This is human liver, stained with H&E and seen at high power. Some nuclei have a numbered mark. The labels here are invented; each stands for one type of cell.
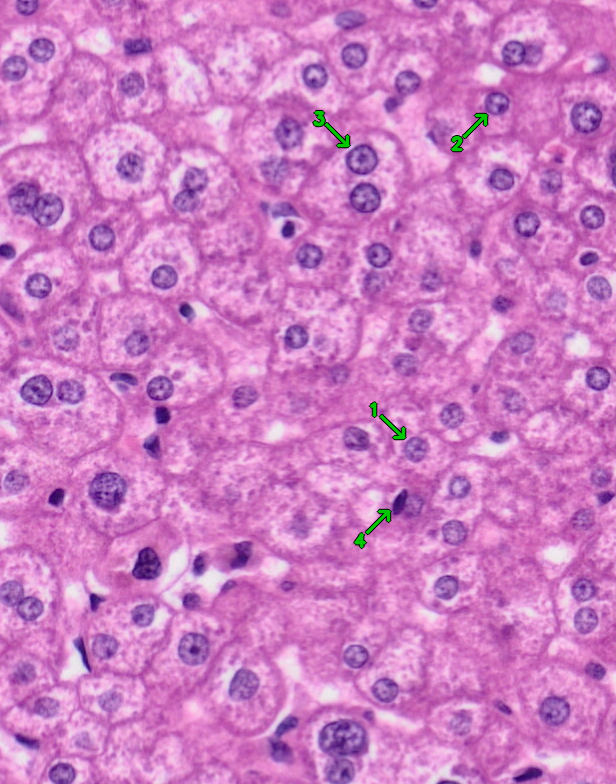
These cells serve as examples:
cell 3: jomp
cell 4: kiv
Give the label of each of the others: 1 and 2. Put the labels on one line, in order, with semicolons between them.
jomp; jomp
